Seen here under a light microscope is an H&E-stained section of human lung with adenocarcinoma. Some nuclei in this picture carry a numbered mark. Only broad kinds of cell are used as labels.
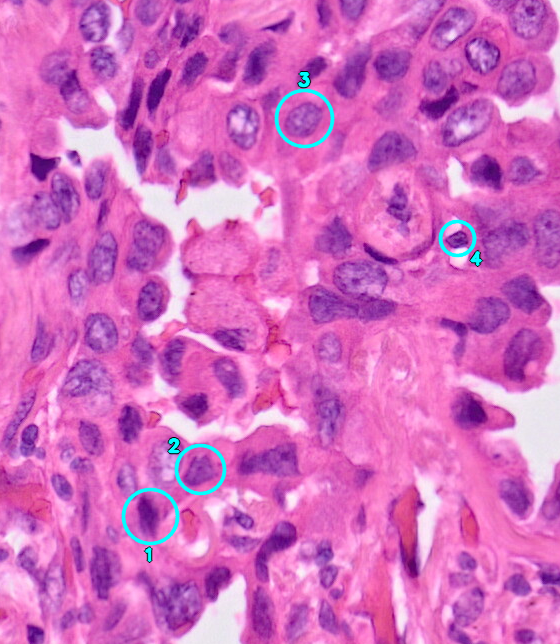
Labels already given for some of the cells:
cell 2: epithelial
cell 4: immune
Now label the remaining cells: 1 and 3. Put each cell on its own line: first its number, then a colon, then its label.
1: epithelial
3: epithelial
